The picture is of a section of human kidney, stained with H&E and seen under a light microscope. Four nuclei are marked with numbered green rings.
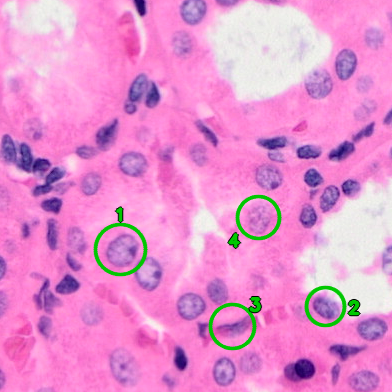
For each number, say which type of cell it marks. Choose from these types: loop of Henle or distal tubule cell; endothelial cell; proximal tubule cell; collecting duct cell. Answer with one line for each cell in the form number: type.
1: proximal tubule cell
2: loop of Henle or distal tubule cell
3: endothelial cell
4: proximal tubule cell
